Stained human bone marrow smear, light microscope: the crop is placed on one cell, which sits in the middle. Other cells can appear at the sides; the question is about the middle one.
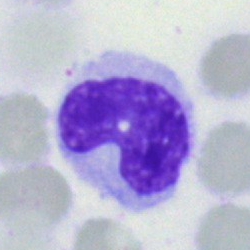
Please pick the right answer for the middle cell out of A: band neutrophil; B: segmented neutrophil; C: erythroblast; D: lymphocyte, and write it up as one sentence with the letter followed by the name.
Given that the cell in the middle is a band neutrophil, option A is correct.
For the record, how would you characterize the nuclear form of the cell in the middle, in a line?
In this cell the nucleus is a solitary compact mass, round, oval or kidney-shaped.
